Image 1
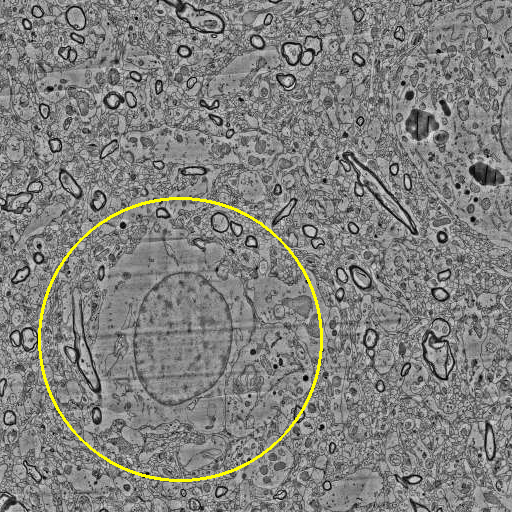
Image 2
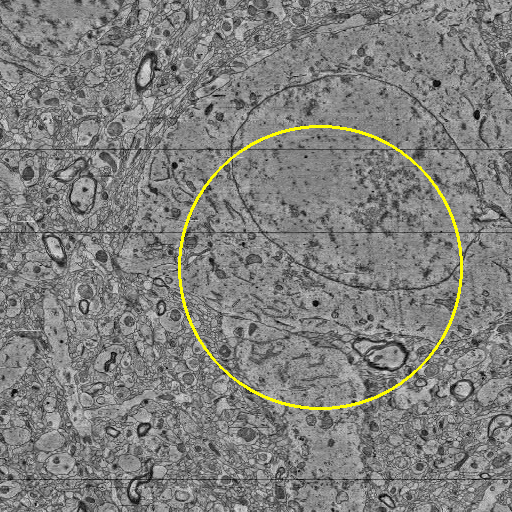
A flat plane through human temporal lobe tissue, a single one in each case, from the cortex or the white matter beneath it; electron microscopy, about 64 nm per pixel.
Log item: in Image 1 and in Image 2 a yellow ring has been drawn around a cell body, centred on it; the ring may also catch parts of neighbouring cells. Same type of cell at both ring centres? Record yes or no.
no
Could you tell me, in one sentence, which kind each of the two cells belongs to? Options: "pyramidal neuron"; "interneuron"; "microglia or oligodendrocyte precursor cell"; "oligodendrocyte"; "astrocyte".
At the centre of the first ring sits an astrocyte, and at the centre of the second sits a pyramidal neuron.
